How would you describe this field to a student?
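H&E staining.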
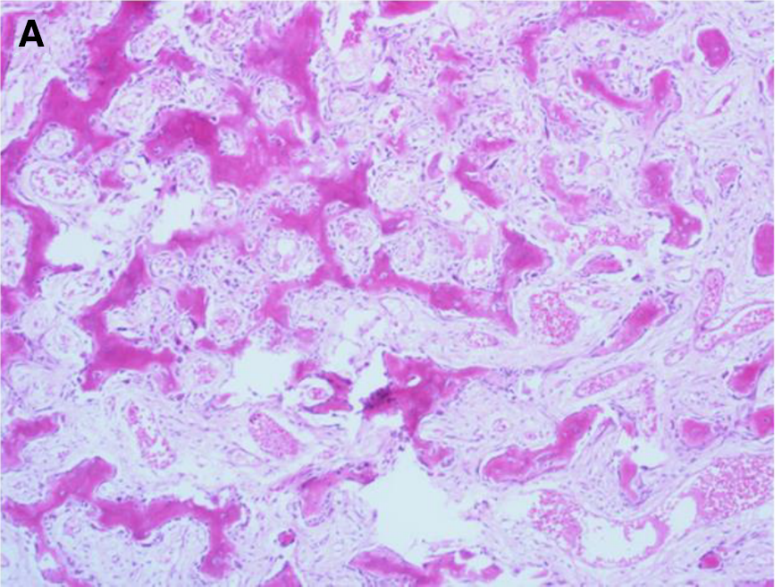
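This is woven-looking bone tissue with immature trabeculae set in a loose fibrous stroma. The strands vary in thickness and have ragged outlines. Between them lies pale, loosely fibrous connective tissue with small spindle-shaped cells. Many small vessels lie within this stroma, and some of them are filled with red blood cells. A few empty clefts are also present.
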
